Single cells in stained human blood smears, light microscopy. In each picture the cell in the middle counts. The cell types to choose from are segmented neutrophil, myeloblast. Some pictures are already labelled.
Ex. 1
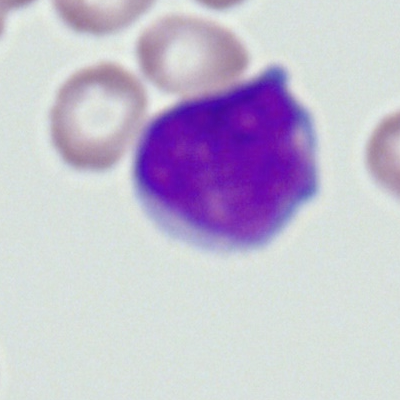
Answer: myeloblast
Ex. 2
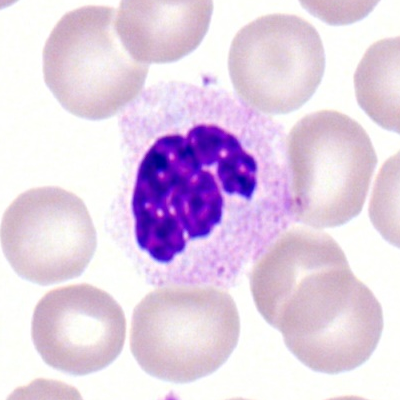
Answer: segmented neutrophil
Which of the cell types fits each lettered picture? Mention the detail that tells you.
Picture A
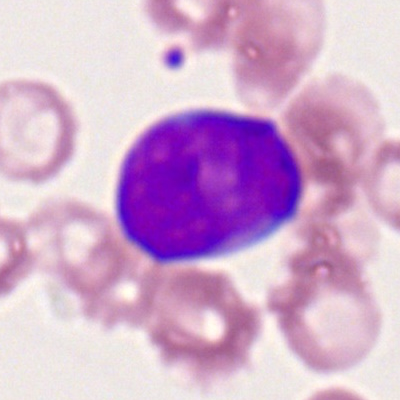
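myeloblast. Evidence: Only a very thin rim of cytoplasm is visible around the nucleus.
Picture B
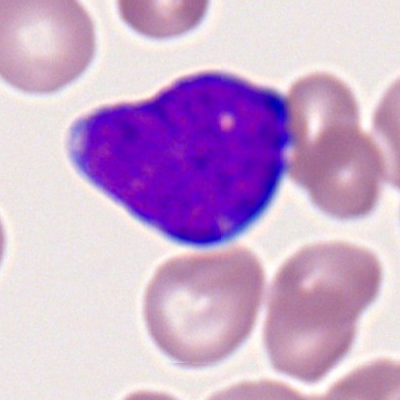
myeloblast. Evidence: The thin rim of cytoplasm stains deep blue.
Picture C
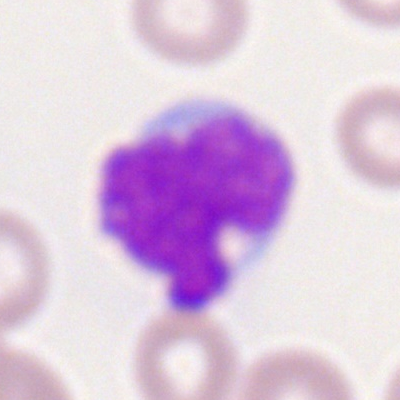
myeloblast. Evidence: The cytoplasm is a scant pale blue rim, seen mostly along the upper edge of the cell.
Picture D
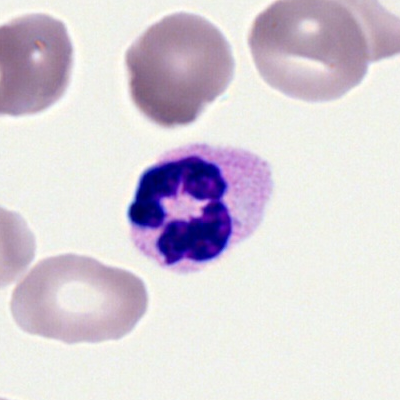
segmented neutrophil. Evidence: The cytoplasm is pale pink.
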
